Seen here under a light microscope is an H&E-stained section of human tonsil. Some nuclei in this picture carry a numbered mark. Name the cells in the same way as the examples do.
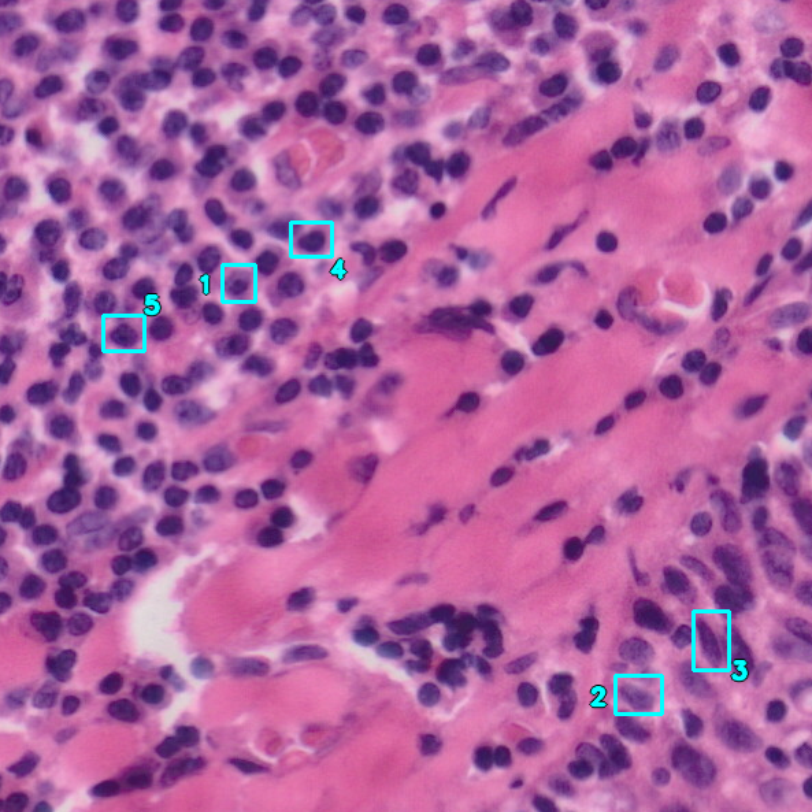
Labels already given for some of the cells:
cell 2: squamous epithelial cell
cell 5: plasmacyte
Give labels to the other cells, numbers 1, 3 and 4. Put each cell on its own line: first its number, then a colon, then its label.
1: plasmacyte
3: squamous epithelial cell
4: plasmacyte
